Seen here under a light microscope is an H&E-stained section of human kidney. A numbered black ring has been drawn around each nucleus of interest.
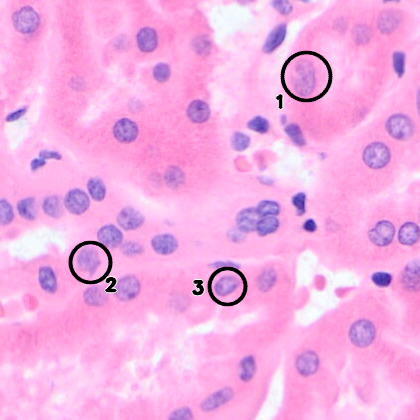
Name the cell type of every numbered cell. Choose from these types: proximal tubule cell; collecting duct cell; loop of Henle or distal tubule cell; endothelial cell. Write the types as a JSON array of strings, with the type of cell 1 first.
["proximal tubule cell", "collecting duct cell", "proximal tubule cell"]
